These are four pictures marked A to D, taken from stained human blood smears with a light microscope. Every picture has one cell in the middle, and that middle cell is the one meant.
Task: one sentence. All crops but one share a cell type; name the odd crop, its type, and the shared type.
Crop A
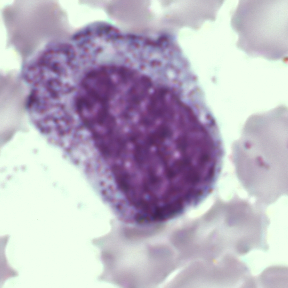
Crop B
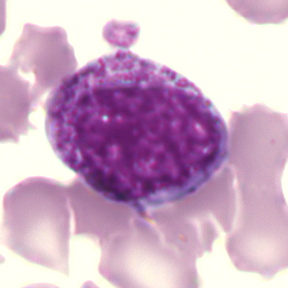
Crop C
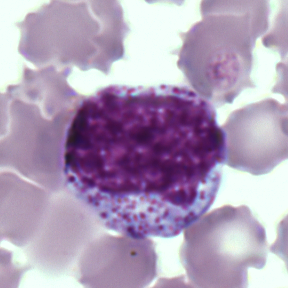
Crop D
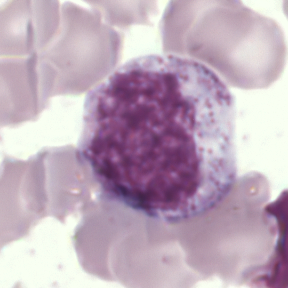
The others are all myelocytes; crop C is a metamyelocyte.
